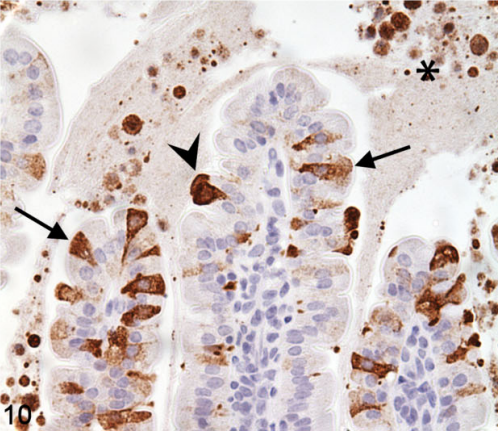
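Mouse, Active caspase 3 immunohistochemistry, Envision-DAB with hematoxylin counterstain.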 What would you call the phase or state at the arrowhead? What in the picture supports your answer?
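The arrowed brown cell bulges out of the epithelial surface toward the lumen. It sits at the apical edge of the epithelium rather than within the layer.
Hence: extrusion/cell shedding.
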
